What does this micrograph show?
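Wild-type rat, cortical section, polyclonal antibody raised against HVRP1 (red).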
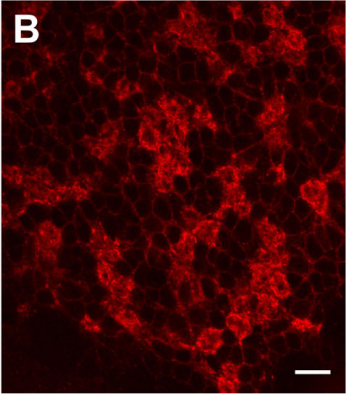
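This is the granule cell layer of the cerebellum at higher magnification, with densely packed small round granule neurons. Each cell body is outlined by a thin red rim, so the layer looks like a fine honeycomb net, with brighter clustered red patches lying between groups of cells.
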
